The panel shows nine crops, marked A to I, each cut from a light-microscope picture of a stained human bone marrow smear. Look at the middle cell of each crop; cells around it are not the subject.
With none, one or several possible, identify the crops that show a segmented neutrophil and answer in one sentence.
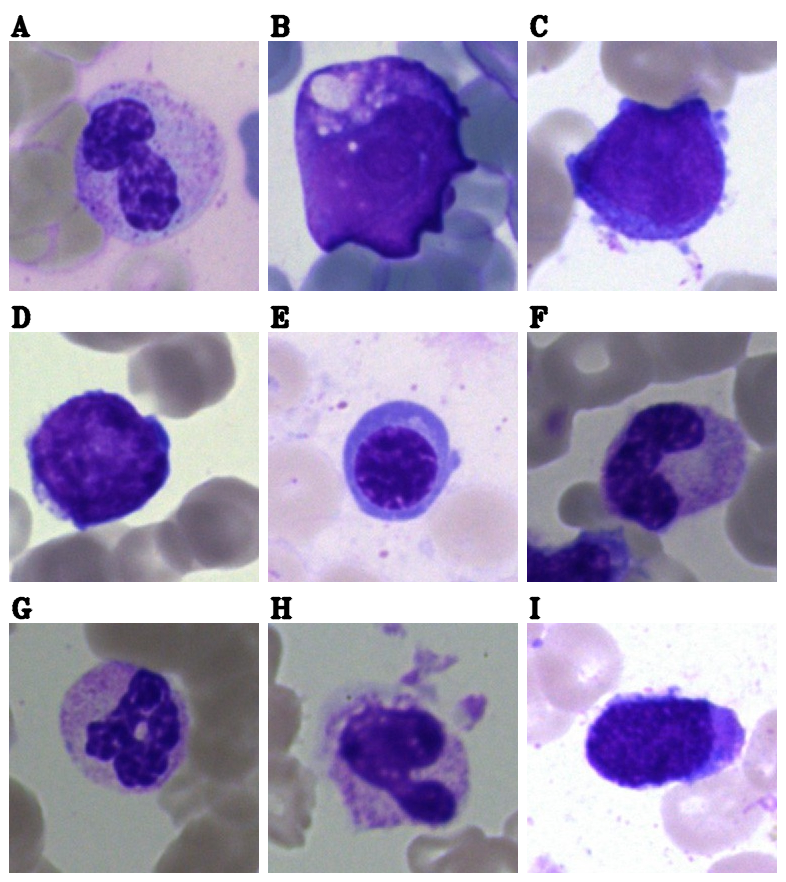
Showing segmented neutrophils at the centre are crops A, G and H.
